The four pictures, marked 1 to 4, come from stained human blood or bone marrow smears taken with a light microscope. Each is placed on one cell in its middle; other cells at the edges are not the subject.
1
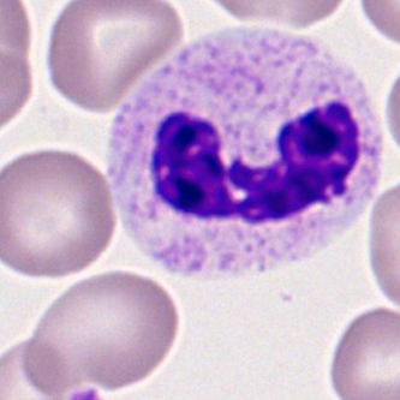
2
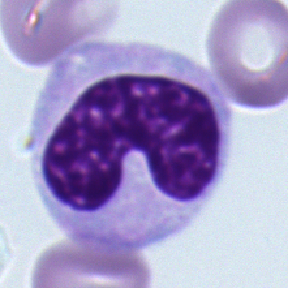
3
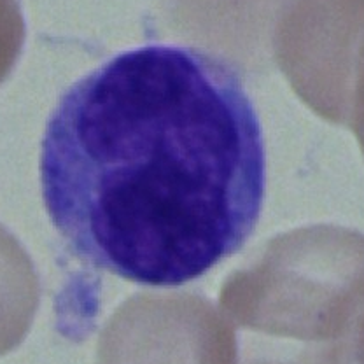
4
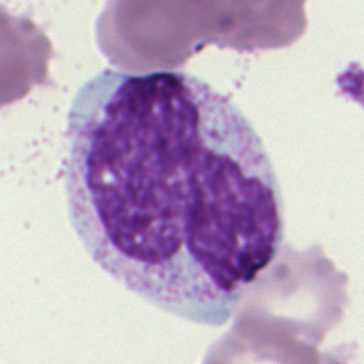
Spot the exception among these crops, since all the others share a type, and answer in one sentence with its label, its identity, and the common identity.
Of all the crops, only crop 3 shows a monocyte; the others show band neutrophils.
